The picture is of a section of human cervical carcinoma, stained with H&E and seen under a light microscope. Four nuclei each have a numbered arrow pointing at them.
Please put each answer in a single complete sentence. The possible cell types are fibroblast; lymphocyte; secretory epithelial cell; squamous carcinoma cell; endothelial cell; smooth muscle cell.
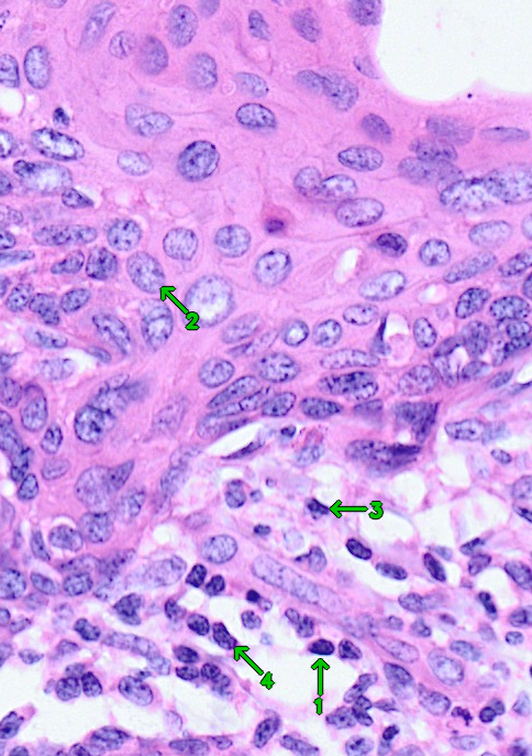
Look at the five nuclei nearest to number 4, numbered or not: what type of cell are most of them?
Around number 4, most of the five nearest nuclei are those of lymphocytes.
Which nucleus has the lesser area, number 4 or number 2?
It is nucleus 4; nucleus 2 has about 2 times its area.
